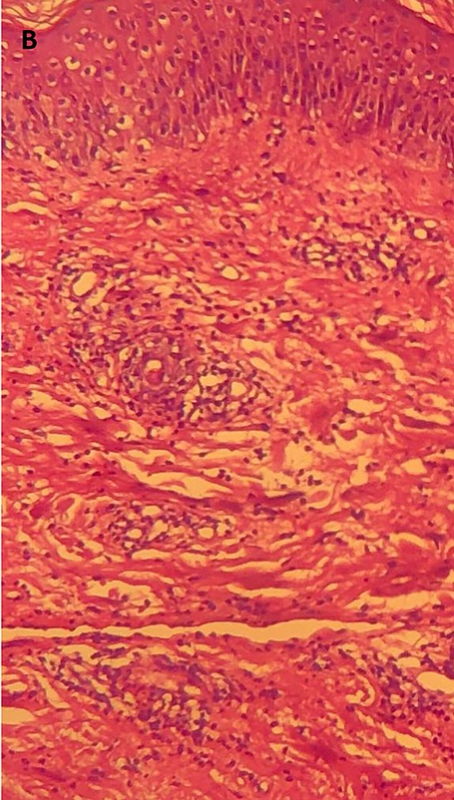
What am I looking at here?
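This is skin: the epidermis runs along the top and the dermis lies below it. The epidermis is made of stratified keratinocytes with pale pink cytoplasm and rounded nuclei. Through the superficial and middle dermis there is a heavy infiltrate of inflammatory cells with small, dark purple nuclei. In places these cells are scattered between the collagen fibres, and in others they gather in clusters around small vessels.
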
